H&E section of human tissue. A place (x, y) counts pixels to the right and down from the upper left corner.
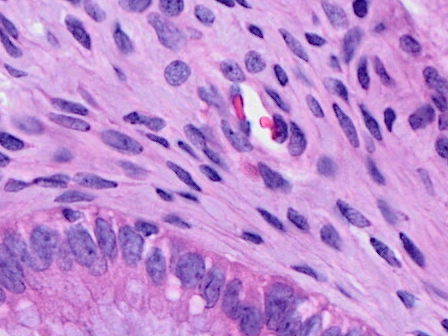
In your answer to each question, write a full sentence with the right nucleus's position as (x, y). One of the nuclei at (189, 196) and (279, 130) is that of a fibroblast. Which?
Identified as belonging to a fibroblast is the nucleus at (189, 196).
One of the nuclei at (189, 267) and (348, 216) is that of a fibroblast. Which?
Located at (348, 216), this nucleus is the one belonging to a fibroblast.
